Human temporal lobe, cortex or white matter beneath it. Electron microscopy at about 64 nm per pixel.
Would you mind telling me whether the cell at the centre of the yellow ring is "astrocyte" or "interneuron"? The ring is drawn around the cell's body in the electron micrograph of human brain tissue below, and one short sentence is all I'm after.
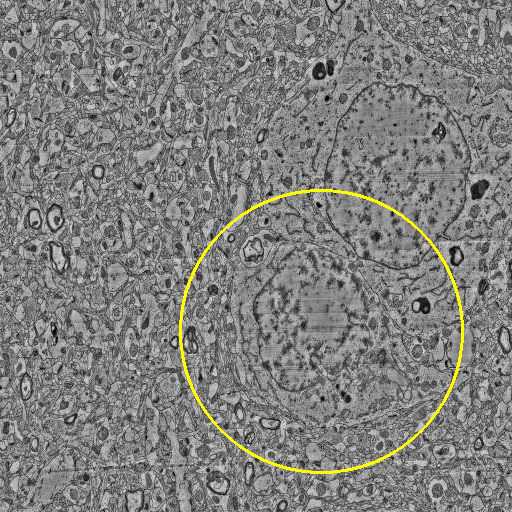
In the centre of the ring lies an interneuron.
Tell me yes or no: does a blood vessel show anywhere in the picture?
No, there is no blood vessel in the image.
